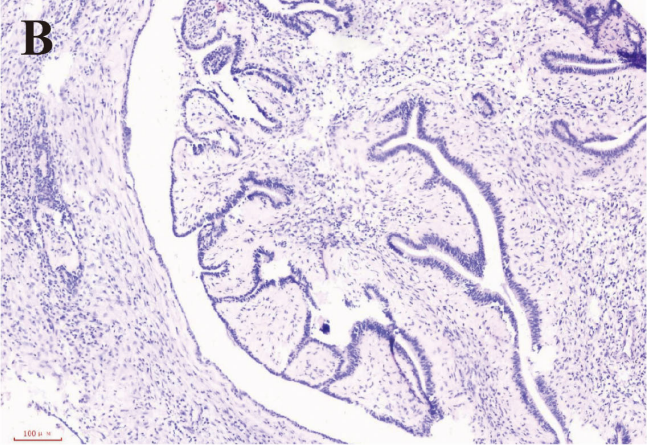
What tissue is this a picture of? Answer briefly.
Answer: Phyllodes tumor.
